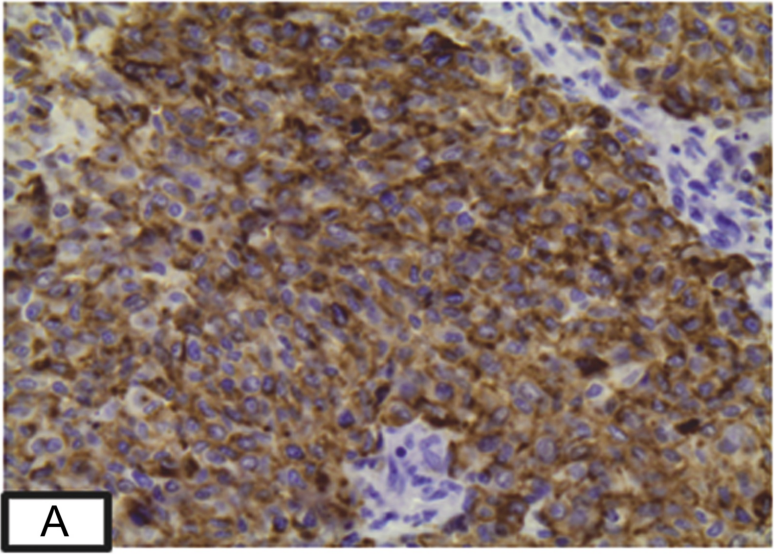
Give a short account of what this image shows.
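This is a solid tumor made of tightly packed cells with oval, vesicular nuclei, arranged in a diffuse sheet. Nearly all of the tumor cells have brown-stained cytoplasm, while the small strands of stroma between them remain pale blue.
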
